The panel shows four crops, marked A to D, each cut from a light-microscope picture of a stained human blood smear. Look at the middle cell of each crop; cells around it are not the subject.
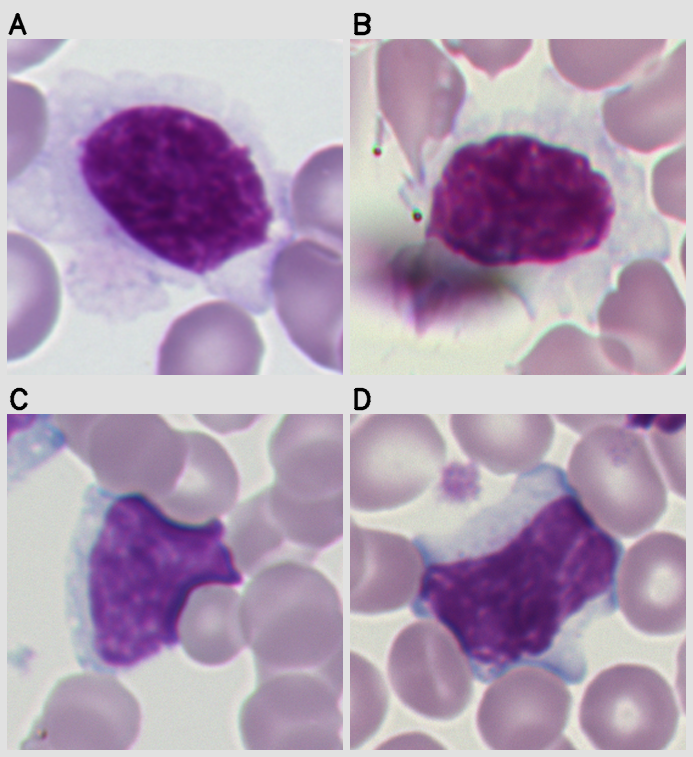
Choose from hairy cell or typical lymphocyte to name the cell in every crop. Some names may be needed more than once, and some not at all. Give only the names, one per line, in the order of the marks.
hairy cell
hairy cell
typical lymphocyte
typical lymphocyte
